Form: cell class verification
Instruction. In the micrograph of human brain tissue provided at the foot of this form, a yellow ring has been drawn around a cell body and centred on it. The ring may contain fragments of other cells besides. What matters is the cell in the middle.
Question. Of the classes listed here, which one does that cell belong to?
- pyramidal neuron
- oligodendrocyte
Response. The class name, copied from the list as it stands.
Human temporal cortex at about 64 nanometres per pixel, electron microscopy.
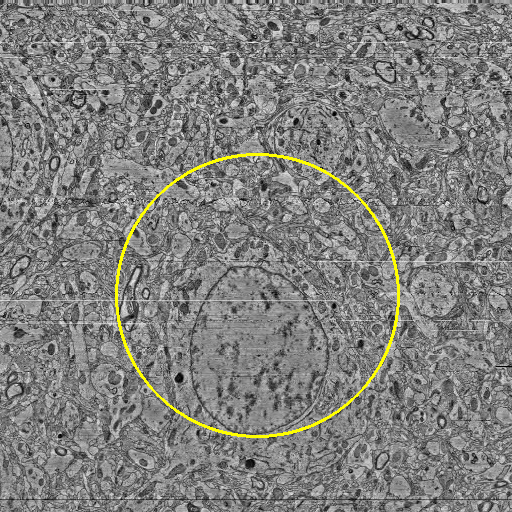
pyramidal neuron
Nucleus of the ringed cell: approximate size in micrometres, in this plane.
About 11 by 9 micrometers for the nucleus, in this plane.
